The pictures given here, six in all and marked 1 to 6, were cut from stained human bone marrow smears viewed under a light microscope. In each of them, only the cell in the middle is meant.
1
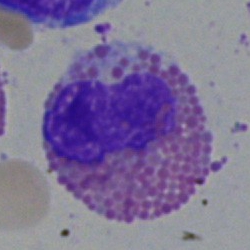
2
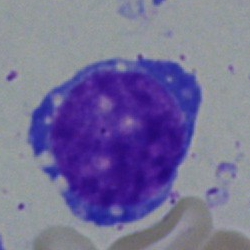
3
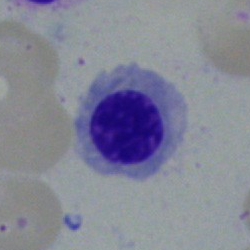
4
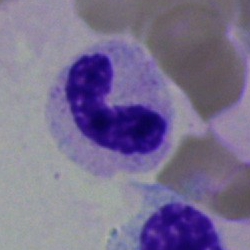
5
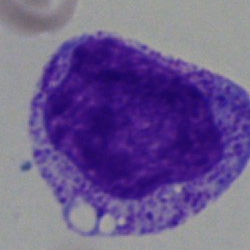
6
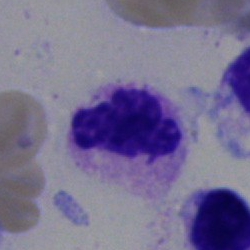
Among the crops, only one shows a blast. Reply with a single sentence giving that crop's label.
It is in crop 2 that a blast is shown.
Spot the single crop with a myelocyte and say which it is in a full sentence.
Of the labelled crops, the one that shows a myelocyte is crop 5.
